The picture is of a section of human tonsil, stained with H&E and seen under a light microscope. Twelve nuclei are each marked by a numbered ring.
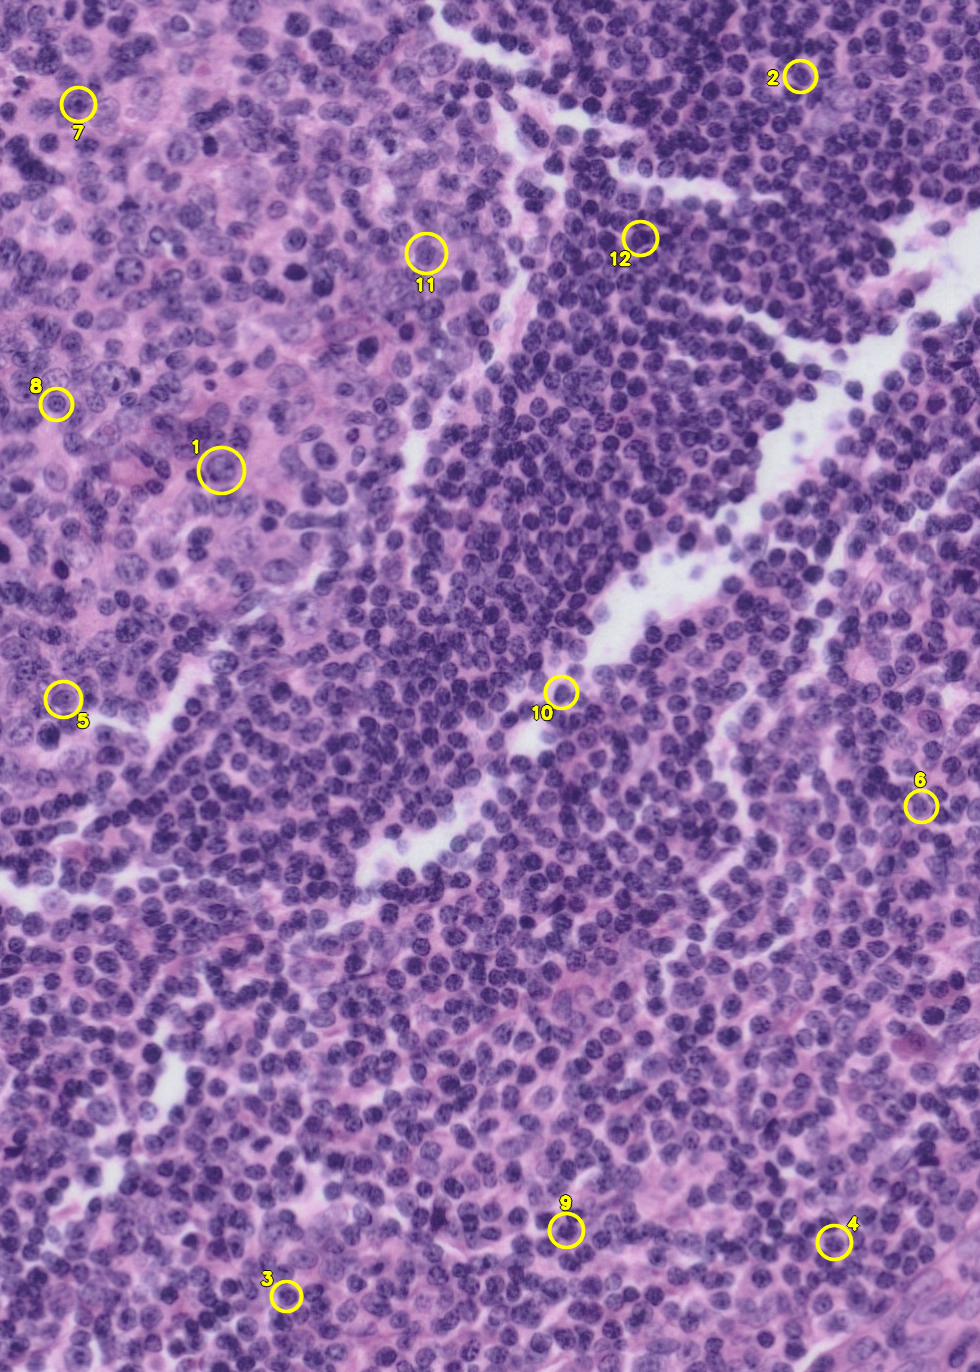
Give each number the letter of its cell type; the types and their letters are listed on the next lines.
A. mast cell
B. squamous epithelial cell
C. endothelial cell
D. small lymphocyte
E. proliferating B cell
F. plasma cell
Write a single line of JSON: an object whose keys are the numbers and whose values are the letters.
{"1": "E", "2": "D", "3": "D", "4": "D", "5": "E", "6": "D", "7": "E", "8": "E", "9": "D", "10": "D", "11": "E", "12": "D"}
